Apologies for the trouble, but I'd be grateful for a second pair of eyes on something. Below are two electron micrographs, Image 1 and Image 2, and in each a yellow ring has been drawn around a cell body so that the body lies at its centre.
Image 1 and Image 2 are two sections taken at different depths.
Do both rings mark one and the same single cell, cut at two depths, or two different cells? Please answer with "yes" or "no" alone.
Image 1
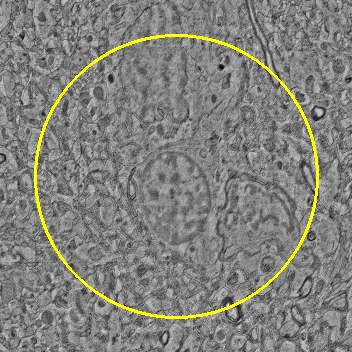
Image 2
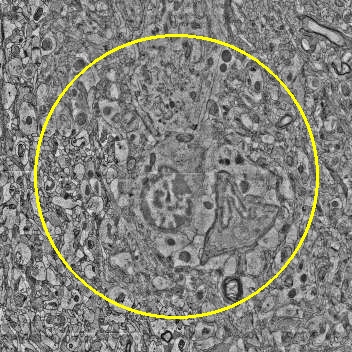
yes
